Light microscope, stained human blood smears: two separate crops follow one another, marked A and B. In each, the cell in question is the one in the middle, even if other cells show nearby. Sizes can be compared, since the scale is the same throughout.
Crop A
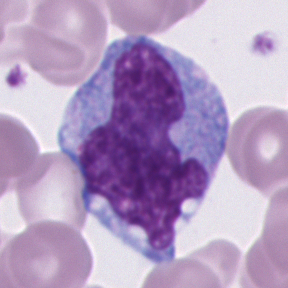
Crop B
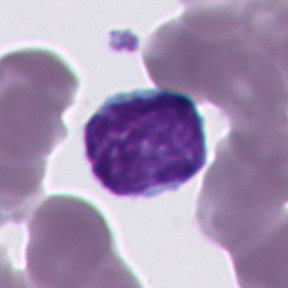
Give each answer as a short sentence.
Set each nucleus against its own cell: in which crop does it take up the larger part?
The nucleus fills more of the cell in crop B than in crop A.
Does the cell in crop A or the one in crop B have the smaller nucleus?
It is the nucleus in crop B; the one in crop A has about 1.5 times its area.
